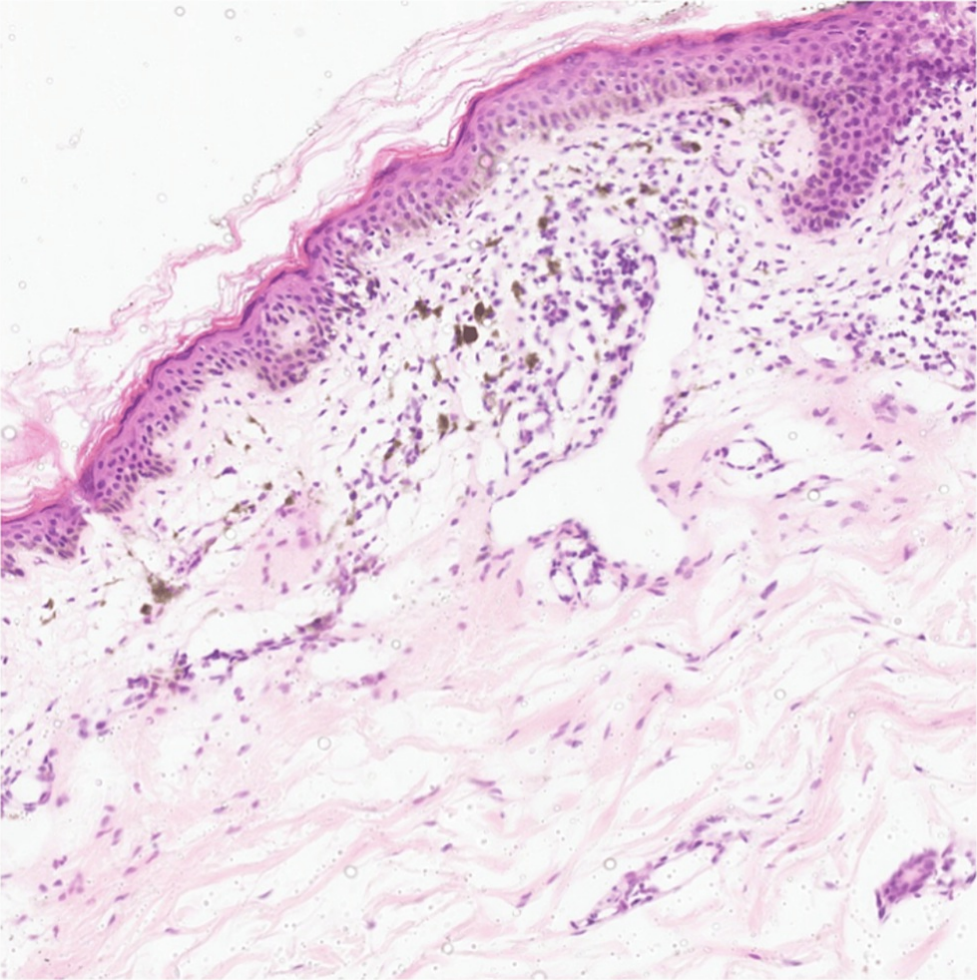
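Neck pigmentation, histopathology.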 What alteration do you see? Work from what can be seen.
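Many small dark round nuclei crowd the upper dermis just below the epidermis. Small dark round nuclei cluster around a vessel in the upper dermis. The deeper dermis has few cells.
Conclusion: superficial dermal and perivascular lymphocytic infiltration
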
